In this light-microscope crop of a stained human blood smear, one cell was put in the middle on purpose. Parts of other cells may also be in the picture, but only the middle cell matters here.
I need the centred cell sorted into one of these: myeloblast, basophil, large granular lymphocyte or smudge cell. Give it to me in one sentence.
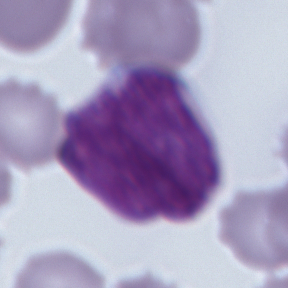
The cell occupying the middle of the crop is a myeloblast.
